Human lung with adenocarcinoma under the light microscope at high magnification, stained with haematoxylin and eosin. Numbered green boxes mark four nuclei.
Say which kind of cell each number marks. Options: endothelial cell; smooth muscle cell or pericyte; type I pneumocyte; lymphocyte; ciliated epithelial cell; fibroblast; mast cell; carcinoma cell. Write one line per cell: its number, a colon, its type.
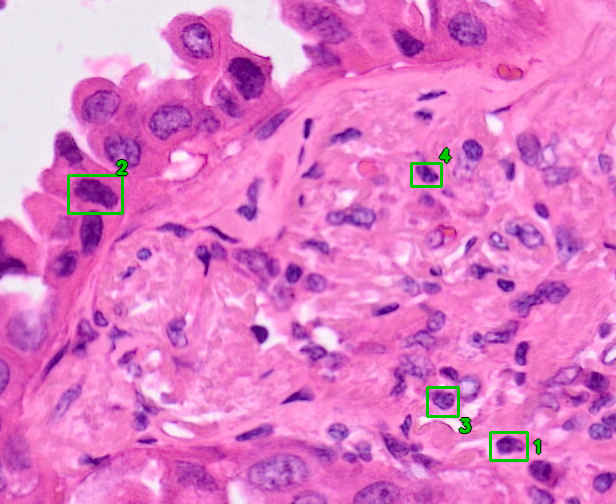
1: lymphocyte
2: carcinoma cell
3: lymphocyte
4: lymphocyte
